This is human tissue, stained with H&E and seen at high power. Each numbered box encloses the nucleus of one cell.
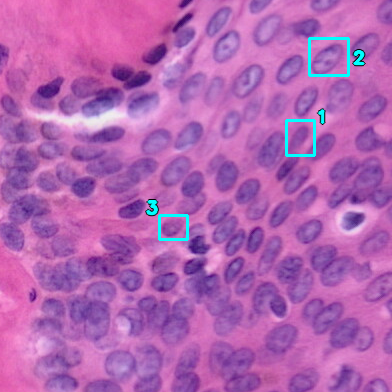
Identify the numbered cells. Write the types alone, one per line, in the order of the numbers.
basal keratinocyte
suprabasal keratinocyte
basal keratinocyte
